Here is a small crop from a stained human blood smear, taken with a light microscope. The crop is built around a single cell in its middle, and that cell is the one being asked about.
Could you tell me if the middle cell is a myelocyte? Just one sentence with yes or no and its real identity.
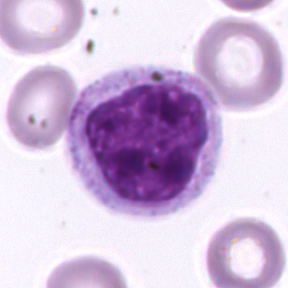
No, the one in the center is not a myelocyte; it is a metamyelocyte.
